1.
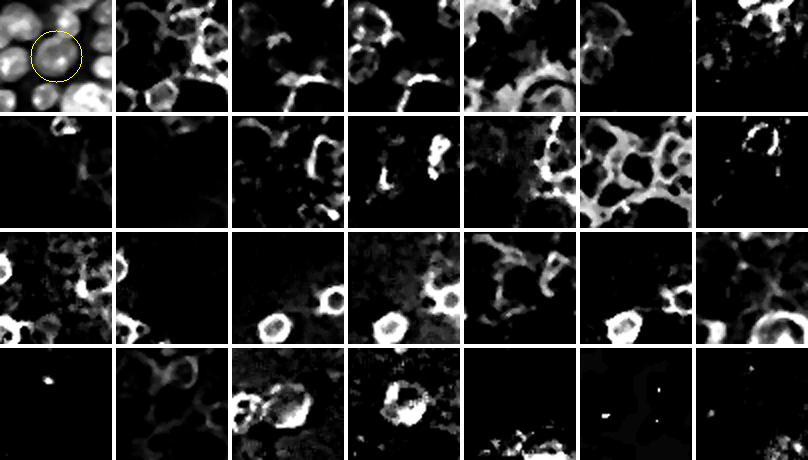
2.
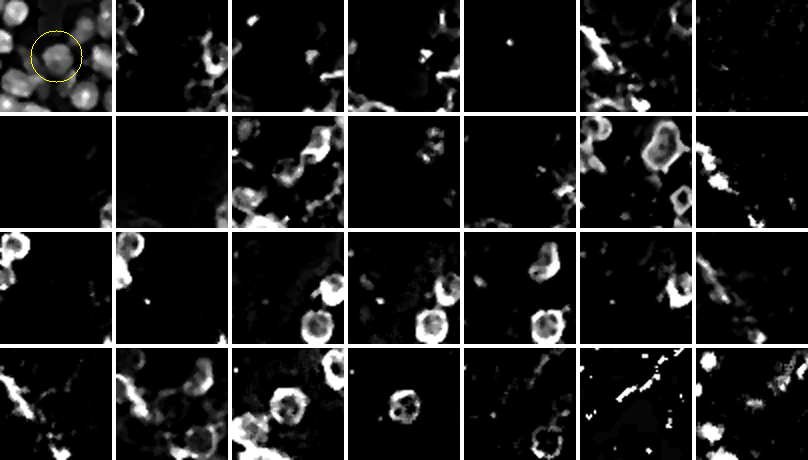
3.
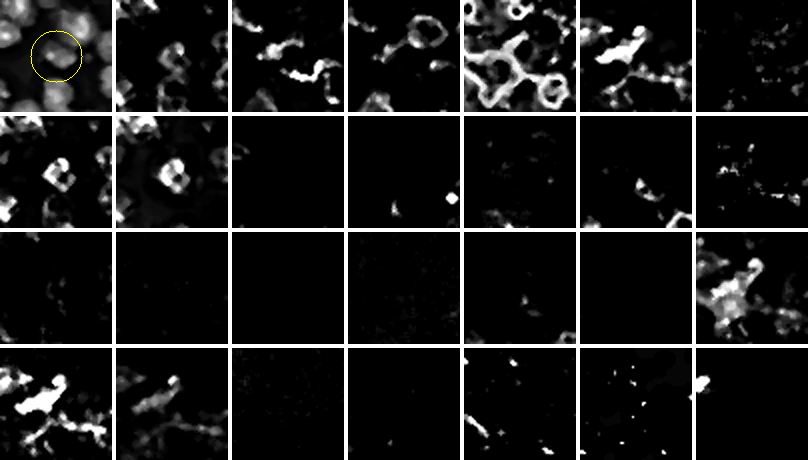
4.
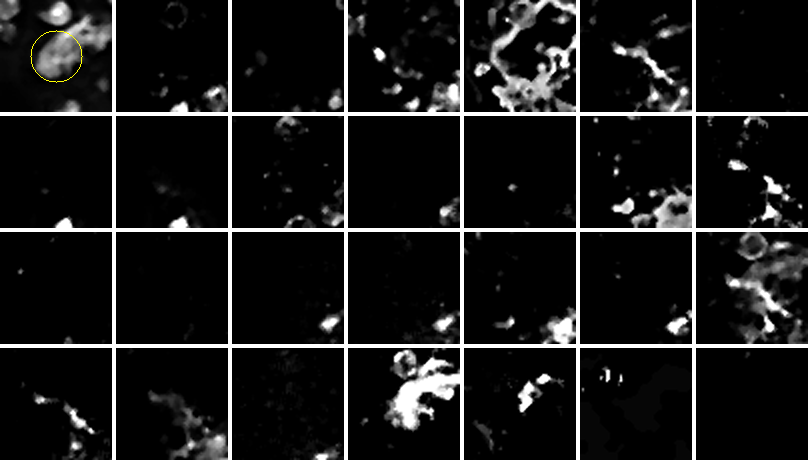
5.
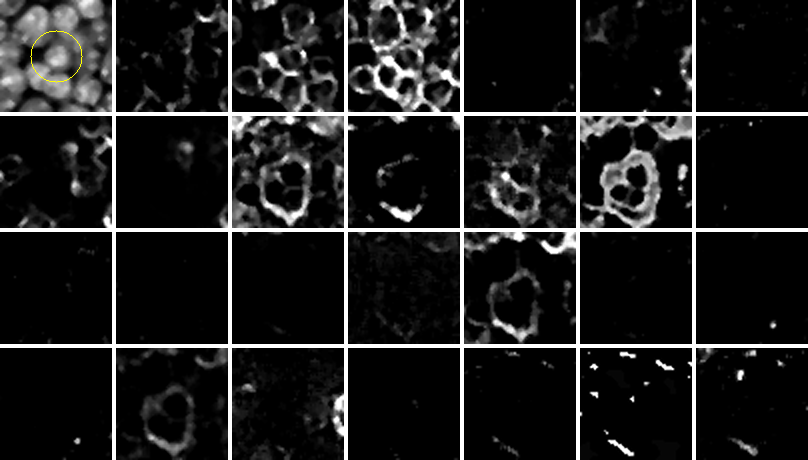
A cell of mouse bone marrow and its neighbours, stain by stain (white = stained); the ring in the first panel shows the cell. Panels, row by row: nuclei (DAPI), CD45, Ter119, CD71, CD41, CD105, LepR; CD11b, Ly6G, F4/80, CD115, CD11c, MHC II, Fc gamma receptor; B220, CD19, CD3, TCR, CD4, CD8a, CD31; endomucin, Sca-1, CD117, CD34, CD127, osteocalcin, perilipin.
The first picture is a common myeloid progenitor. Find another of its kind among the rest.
Picture 2.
